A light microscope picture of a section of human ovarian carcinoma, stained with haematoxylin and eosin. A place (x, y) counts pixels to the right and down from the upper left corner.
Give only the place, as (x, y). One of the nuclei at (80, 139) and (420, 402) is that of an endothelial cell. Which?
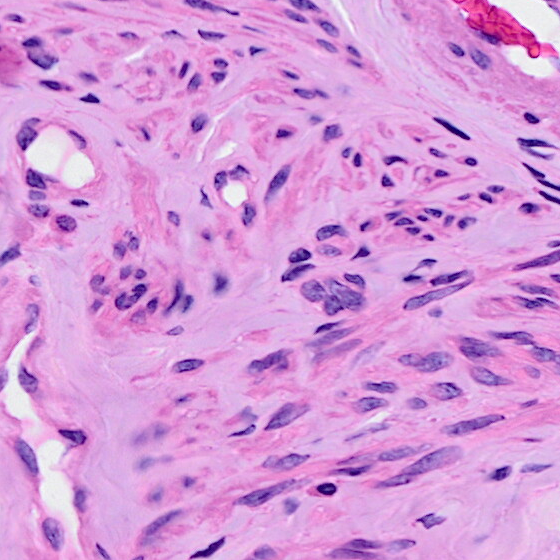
(80, 139)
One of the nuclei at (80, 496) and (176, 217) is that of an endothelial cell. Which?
(80, 496)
